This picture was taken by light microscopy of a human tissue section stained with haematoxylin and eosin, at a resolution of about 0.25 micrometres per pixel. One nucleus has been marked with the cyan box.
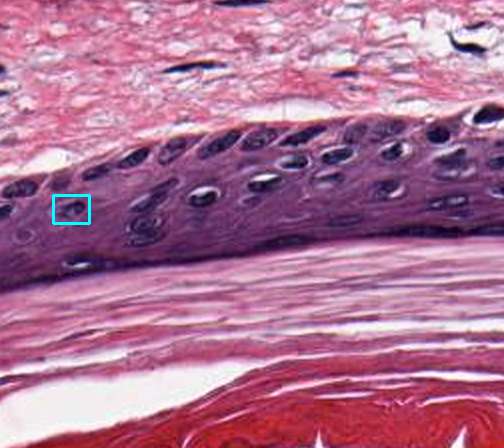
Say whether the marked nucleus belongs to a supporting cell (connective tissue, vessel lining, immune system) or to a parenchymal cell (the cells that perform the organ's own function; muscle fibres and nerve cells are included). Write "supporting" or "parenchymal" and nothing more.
parenchymal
